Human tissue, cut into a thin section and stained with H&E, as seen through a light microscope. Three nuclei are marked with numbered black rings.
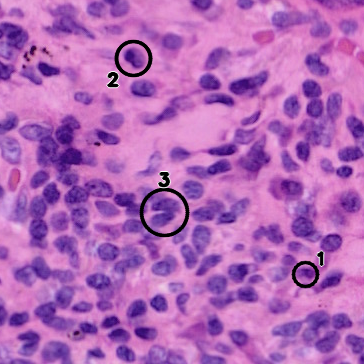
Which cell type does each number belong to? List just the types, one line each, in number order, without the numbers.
plasma cell
lymphocyte
lymphocyte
